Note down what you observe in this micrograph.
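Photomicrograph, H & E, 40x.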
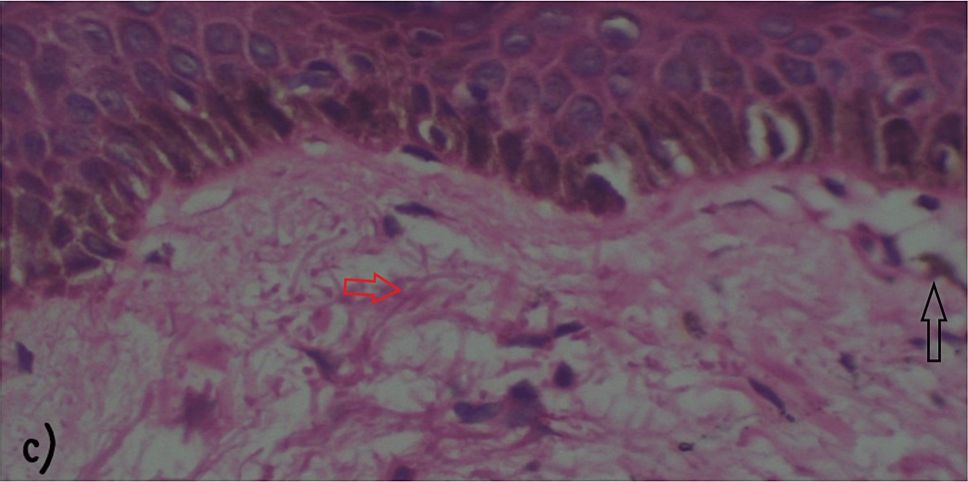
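Skin with the lower epidermis above and the papillary dermis below, joined along an undulating border. The basal row of columnar keratinocytes is filled with brown pigment. The paler, polygonal keratinocytes above it have round, purple nuclei. The dermis below is loose and pale pink, made of thin, wispy collagen fibres with clear spaces between them and scattered elongated dark nuclei.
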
